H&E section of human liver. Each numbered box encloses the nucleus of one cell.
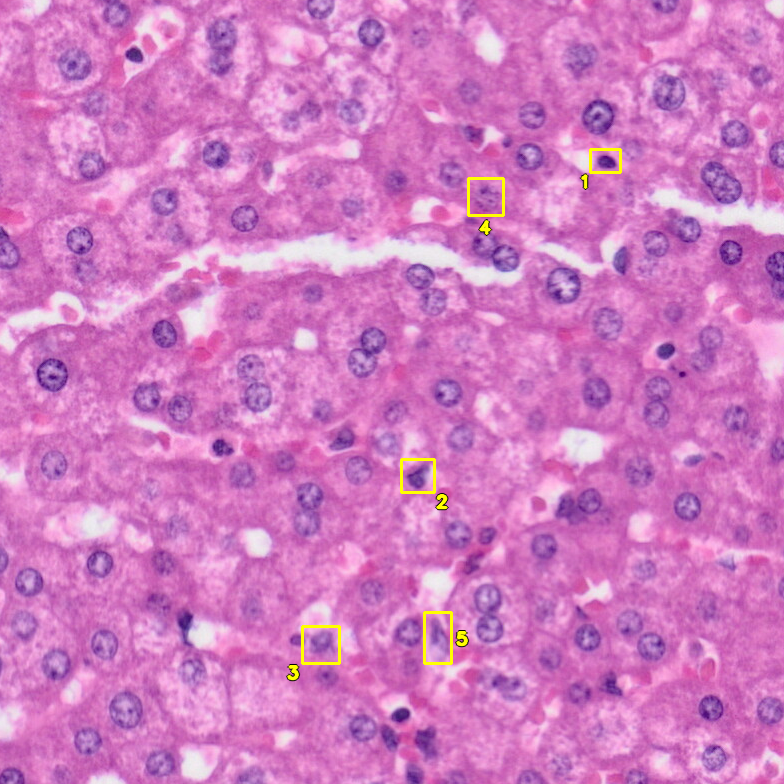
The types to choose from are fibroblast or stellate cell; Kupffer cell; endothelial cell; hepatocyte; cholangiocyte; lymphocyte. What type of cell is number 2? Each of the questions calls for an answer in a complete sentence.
Numbered cell 2 is an endothelial cell in this tissue section.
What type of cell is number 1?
Here the cell numbered 1 is a lymphocyte.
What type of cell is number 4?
The cell marked with the number 4 is a hepatocyte.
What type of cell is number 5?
The cell marked with the number 5 is a Kupffer cell.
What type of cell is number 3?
The cell carrying label 3 is identified as a Kupffer cell.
